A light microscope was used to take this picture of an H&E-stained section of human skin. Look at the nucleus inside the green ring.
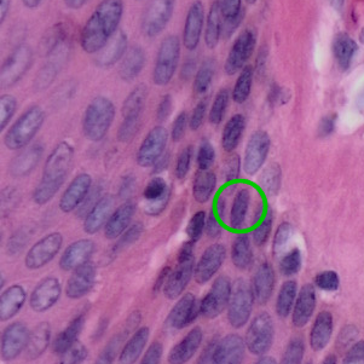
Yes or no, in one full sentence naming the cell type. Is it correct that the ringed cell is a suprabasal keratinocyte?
No, it is a basal keratinocyte that the ringed cell is, rather than a suprabasal keratinocyte.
